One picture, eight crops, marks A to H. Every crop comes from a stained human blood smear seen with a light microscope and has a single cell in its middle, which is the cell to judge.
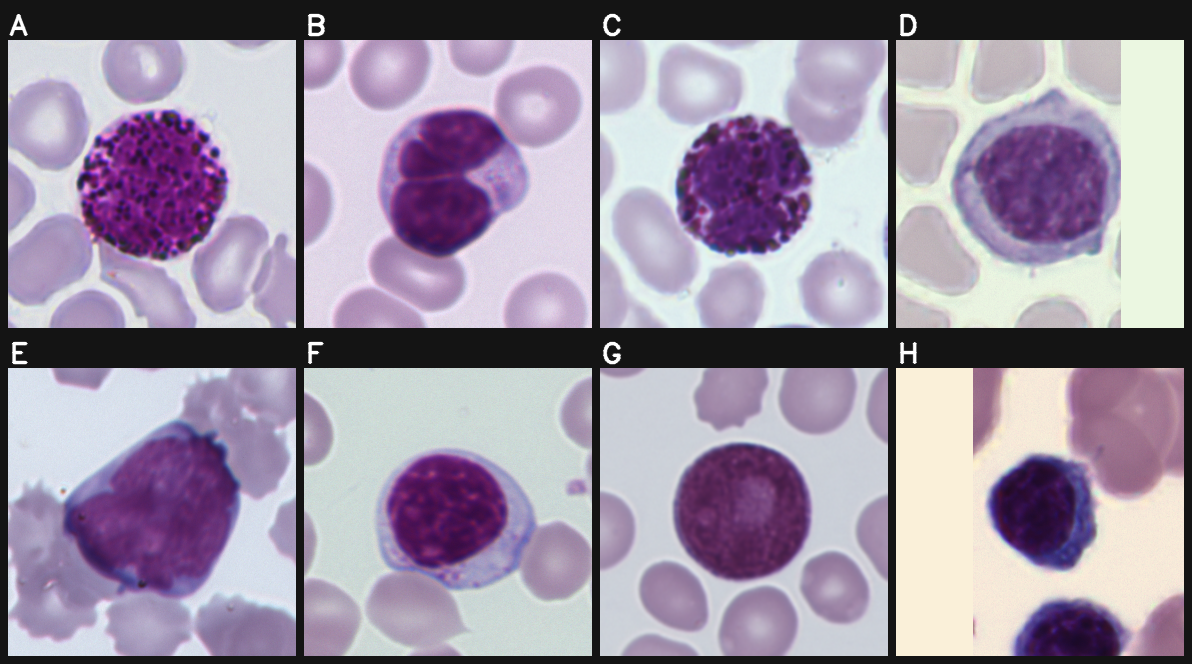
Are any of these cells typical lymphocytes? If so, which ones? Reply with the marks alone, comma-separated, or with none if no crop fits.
none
